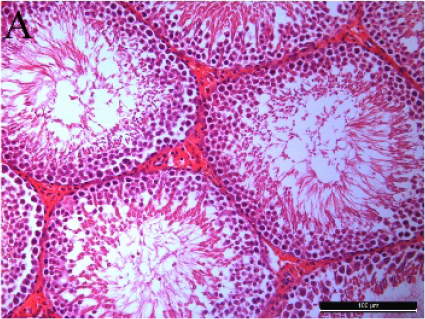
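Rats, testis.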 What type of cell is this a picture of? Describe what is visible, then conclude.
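Spermatogenic cells. Many layers of round nucleated cells stacked from the tubule wall toward the lumen. Cells arranged in orderly concentric layers.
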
